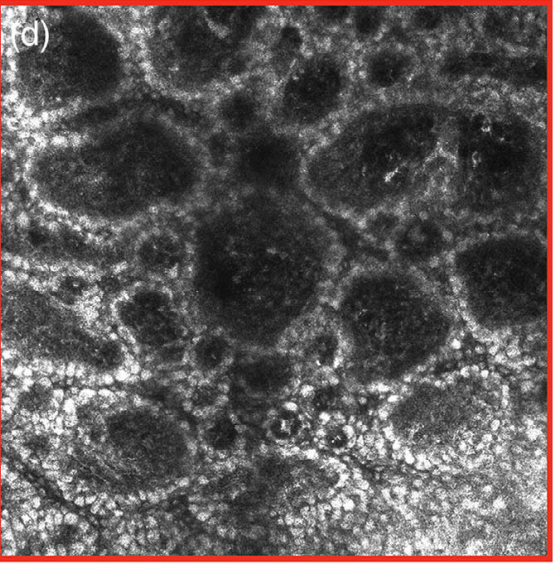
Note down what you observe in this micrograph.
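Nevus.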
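At the junction of epidermis and dermis, the field is filled with rounded to oval dark papillae of varying size. Each papilla is rimmed by a ring of small bright basal keratinocytes, so that the bright cells form a regular network of rings around the dark areas.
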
